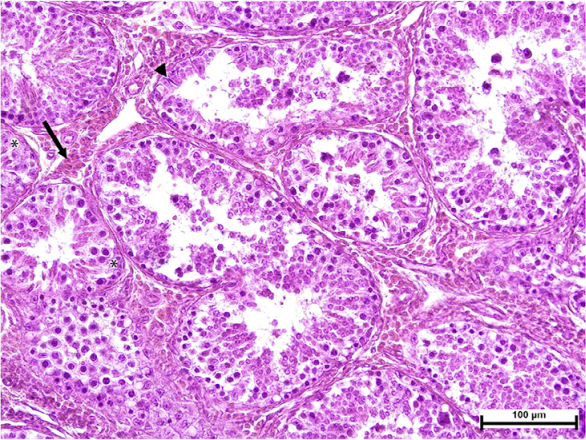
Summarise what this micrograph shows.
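Seminiferous tubules in cross-section with a layered germinal epithelium and irregular central lumens containing loose cells and debris. Some tubules show pale clear spaces within the epithelium, a sign of vacuolation. The epithelium still contains spermatocytes and spermatids, with darker elongated heads among the cells, but the overall appearance is less orderly than in a normal adult testis.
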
